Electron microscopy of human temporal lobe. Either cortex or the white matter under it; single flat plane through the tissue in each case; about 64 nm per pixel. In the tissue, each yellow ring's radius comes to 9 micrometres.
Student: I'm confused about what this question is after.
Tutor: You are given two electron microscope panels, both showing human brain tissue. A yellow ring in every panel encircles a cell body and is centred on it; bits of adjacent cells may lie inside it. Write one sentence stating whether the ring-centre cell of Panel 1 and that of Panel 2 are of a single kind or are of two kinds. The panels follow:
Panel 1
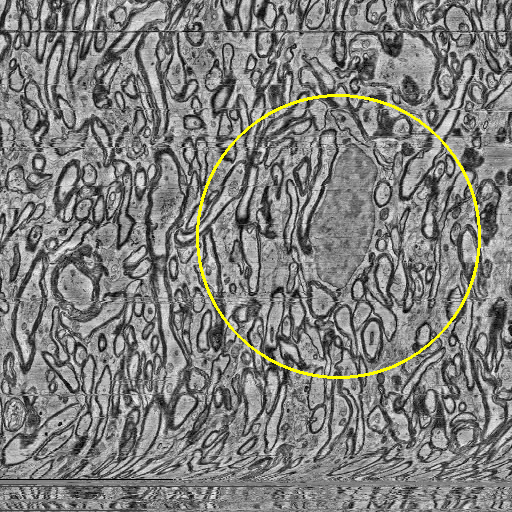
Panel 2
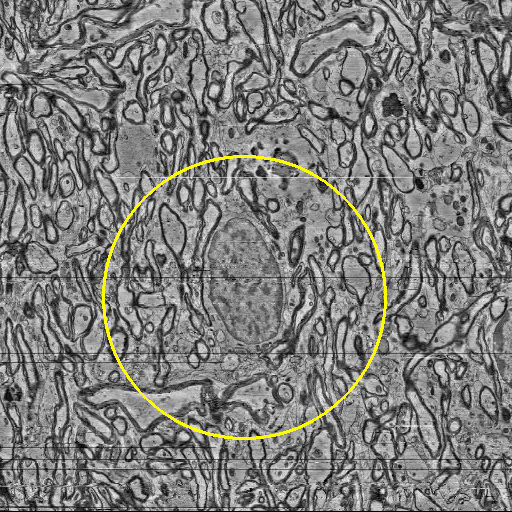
Here, the Panel 1 ring-centre cell and the Panel 2 ring-centre cell are of a single kind.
